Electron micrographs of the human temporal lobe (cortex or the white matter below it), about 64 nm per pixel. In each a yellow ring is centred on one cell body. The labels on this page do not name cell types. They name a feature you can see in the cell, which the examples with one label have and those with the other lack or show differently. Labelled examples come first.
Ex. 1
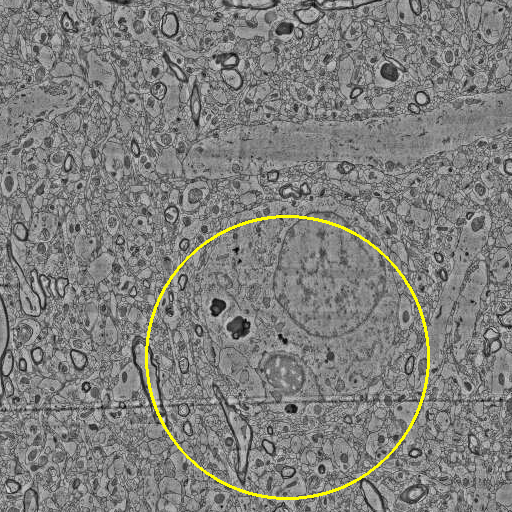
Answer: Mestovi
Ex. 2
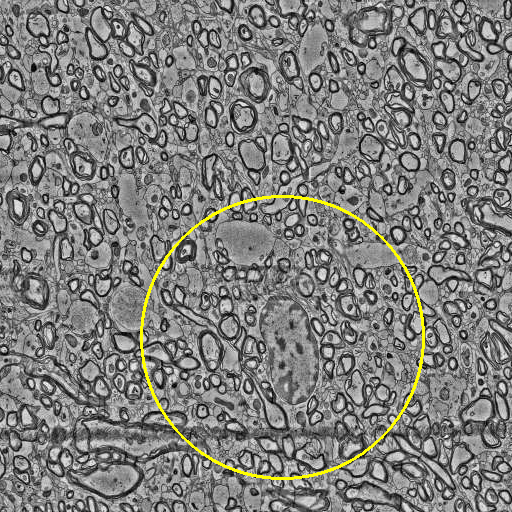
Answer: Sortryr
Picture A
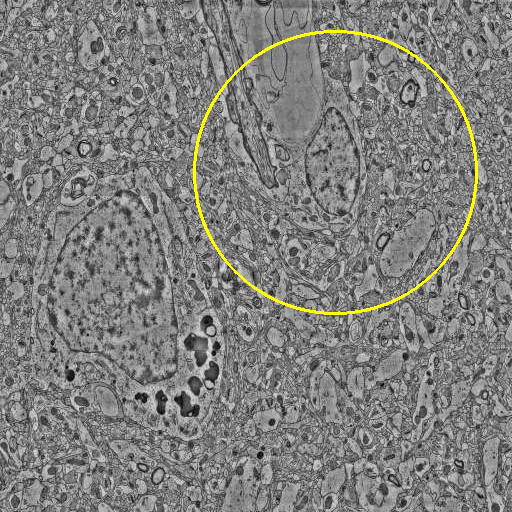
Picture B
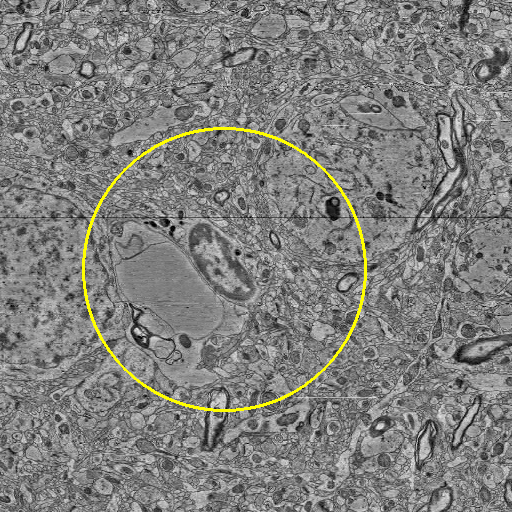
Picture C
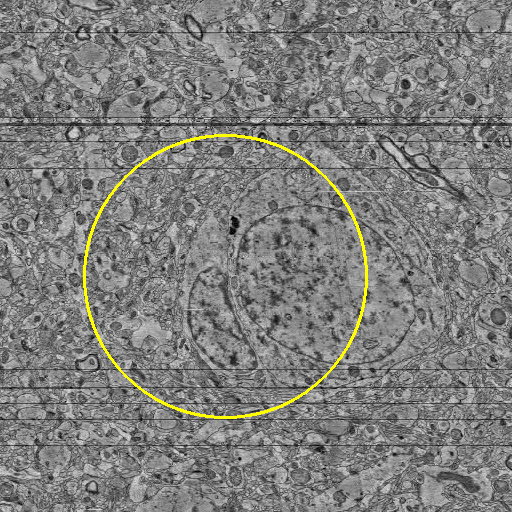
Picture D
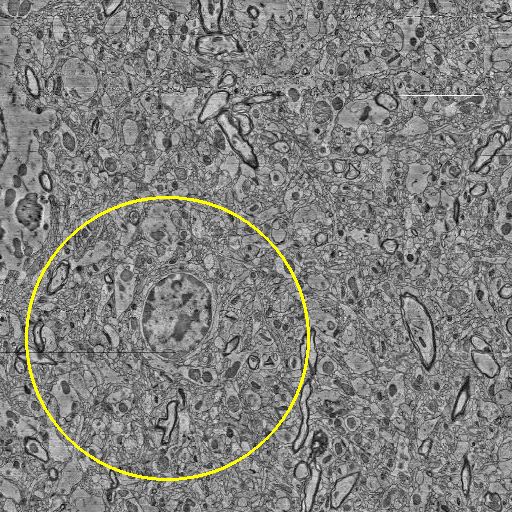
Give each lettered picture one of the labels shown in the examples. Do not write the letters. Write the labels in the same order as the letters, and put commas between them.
Sortryr, Sortryr, Sortryr, Mestovi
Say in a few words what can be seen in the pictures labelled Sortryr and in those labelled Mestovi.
Seen in Sortryr: clearly elongated nuclei; seen in Mestovi: round or nearly round nuclei.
